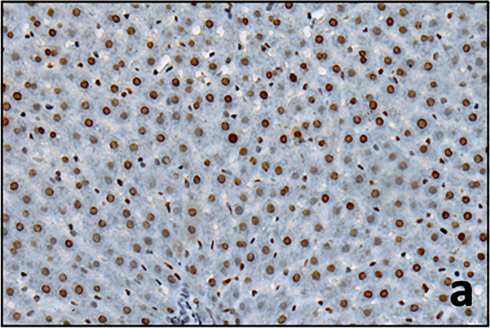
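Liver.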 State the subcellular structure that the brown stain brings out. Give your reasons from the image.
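Nuclei. The brown stain fills small round bodies, one in the centre of each polygonal cell. The surrounding cytoplasm stays pale.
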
